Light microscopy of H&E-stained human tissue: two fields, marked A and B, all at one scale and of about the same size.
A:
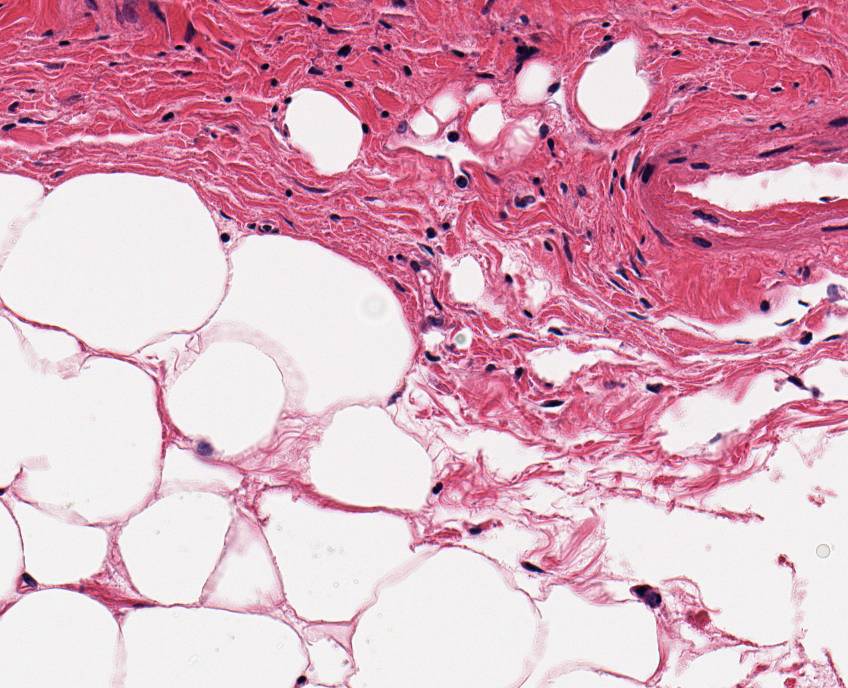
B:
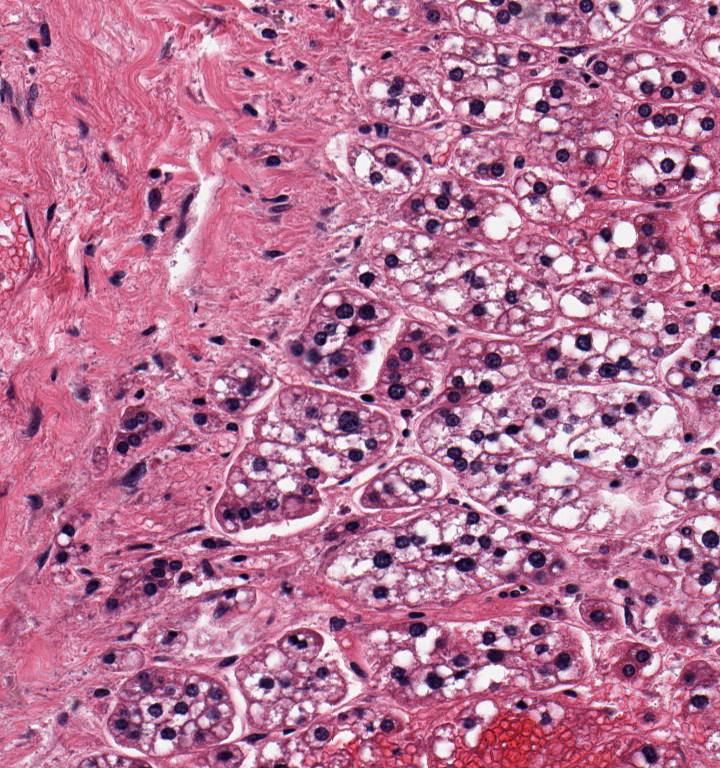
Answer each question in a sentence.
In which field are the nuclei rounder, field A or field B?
Rounder nuclei lie in field B.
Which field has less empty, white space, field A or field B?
Field B has less white space.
